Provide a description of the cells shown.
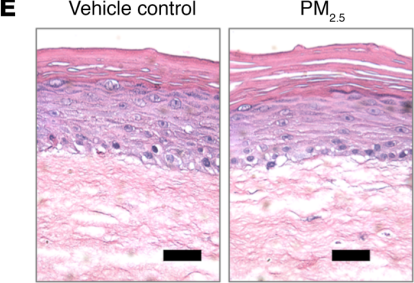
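The lowest epithelial cells are small with round purple nuclei, and above them several layers of larger polygonal cells with pink cytoplasm and round nuclei are stacked. Towards the surface the cells flatten, and the top is covered by a compact, pink, layered sheet without nuclei. The two images look broadly alike in this layering.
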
